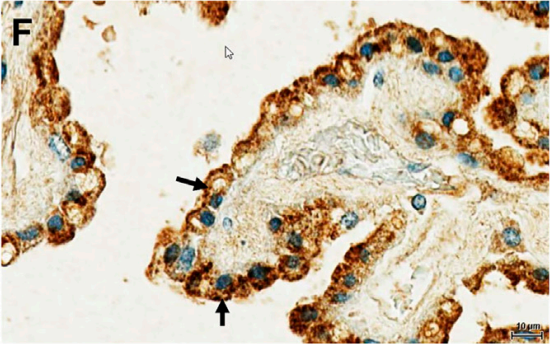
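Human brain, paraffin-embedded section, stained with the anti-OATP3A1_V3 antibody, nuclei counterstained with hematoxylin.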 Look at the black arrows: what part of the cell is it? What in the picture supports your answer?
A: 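The arrows point at the surface of the lining cells that faces the open space. The brown stain is dense in the lining cells toward the free surface. On this evidence: apical (ventricular lumen facing) membrane.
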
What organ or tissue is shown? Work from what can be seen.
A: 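Choroid plexus epithelium. Papillary fronds covered by a single layer of cuboidal cells. Round blue nuclei in the lining cells. Loose pale connective tissue cores beneath the lining.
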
